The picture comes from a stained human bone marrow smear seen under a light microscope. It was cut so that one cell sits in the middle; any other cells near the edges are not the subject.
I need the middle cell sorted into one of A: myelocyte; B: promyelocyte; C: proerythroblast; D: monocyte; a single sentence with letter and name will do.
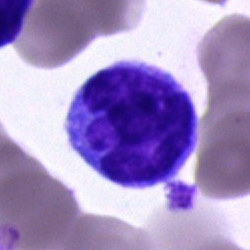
The correct option is D, as the central cell is a monocyte.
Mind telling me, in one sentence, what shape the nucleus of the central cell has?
Have a look at the nucleus, which is one compact mass, round, oval or kidney-shaped.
